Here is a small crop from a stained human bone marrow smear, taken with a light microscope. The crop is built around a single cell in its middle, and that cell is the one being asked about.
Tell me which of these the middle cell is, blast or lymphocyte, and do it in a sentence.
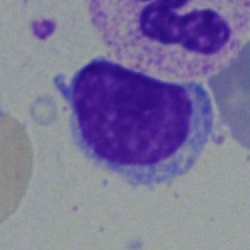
Looking at the middle of the crop, the cell there is a lymphocyte.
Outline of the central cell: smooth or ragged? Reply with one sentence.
Rather than running smoothly, the cell border is ragged or carries projections.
